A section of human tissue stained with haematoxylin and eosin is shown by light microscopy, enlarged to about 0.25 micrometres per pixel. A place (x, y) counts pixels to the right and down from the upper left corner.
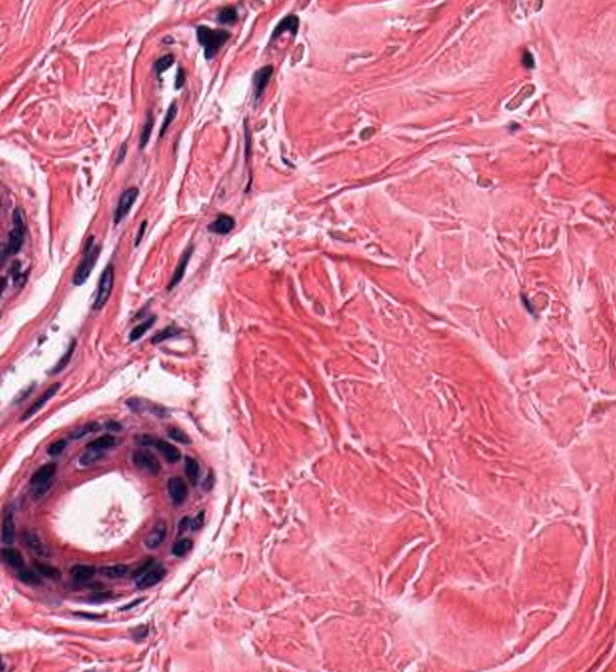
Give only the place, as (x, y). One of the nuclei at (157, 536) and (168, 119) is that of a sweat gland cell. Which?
(157, 536)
